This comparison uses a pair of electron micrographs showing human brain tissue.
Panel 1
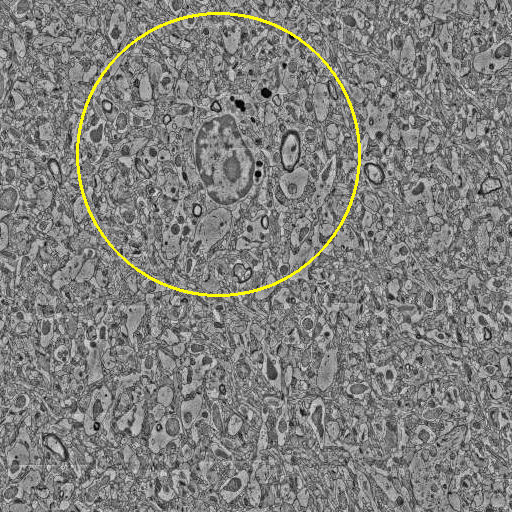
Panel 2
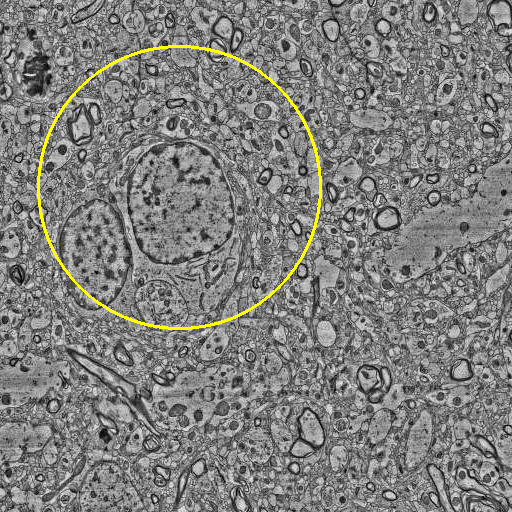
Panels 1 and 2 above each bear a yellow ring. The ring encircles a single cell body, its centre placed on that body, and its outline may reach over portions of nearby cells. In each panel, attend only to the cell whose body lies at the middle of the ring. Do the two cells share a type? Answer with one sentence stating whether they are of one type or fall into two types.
In Panel 1 and Panel 2, the cells at the centres of the rings are of one type.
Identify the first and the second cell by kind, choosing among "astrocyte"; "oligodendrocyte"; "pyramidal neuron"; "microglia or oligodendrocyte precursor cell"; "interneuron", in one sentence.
Both the first and the second picture show a microglial cell or oligodendrocyte precursor cell in the ring.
